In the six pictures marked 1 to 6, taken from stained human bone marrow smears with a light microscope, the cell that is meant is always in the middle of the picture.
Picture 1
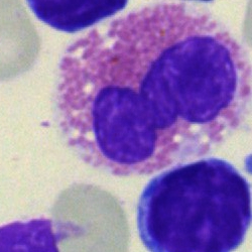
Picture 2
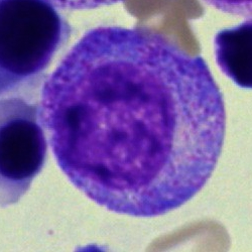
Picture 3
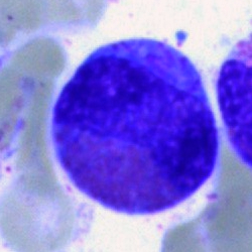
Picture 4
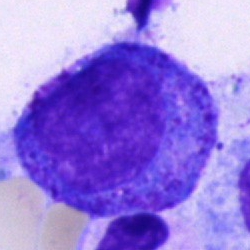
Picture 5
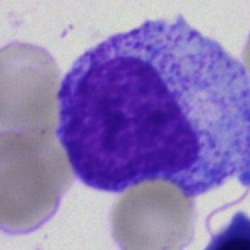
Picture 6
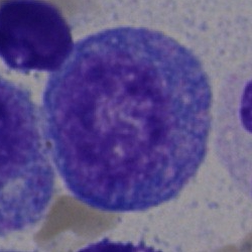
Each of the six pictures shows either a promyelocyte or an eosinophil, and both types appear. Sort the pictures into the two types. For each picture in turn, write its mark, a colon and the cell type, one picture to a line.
1: eosinophil
2: promyelocyte
3: eosinophil
4: promyelocyte
5: promyelocyte
6: promyelocyte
